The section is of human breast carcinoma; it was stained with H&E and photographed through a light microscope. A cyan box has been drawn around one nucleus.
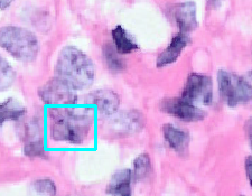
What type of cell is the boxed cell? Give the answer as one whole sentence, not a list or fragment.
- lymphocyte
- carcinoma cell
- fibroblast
To be brief about it, the boxed cell is a carcinoma cell.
